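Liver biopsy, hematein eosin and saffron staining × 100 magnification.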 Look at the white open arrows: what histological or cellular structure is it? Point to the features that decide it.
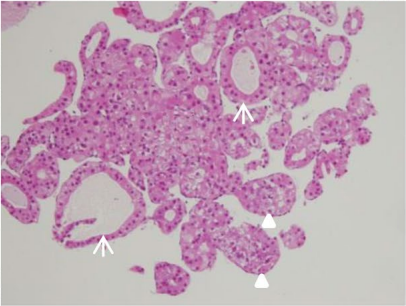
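The arrows point at round lumens lined by a single layer of tumor cells. The lumens contain pale pink material or are empty. That points to this answer: pseudoglands.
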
